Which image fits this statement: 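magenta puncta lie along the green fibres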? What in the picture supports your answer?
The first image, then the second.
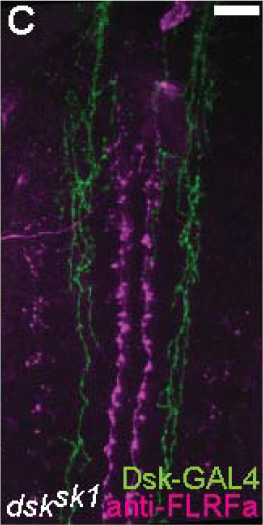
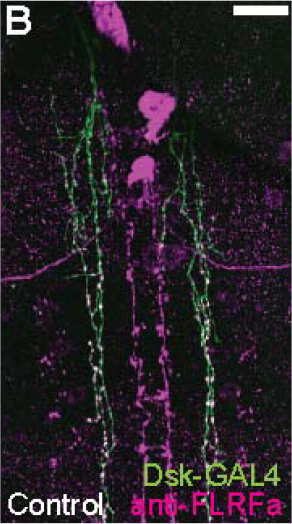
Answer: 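First image: green fibres run clean, magenta puncta lie in separate tracks beside them. Second image: green fibres appear whitish where magenta puncta coincide with them.
Answer: the second image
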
